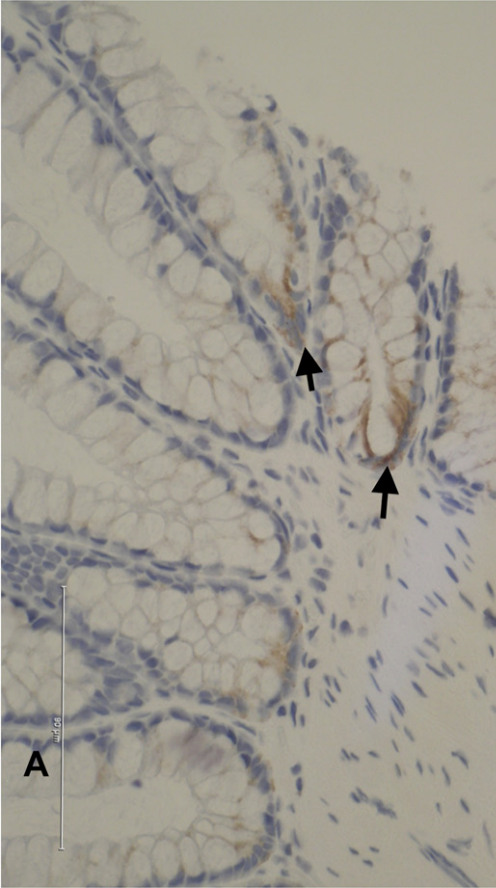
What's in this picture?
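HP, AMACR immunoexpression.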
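This is colonic-type mucosa with elongated crypts lined by columnar epithelium rich in pale goblet cells. The crypts run in parallel, separated by thin strands of stroma with spindle and oval blue nuclei. The epithelial nuclei are small, dark and lined up at the base of the cells. A brown granular stain is concentrated at the narrow ends of several crypts, next to the underlying stroma, and is faint or absent elsewhere. Below the crypts lies looser stroma with scattered elongated nuclei.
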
